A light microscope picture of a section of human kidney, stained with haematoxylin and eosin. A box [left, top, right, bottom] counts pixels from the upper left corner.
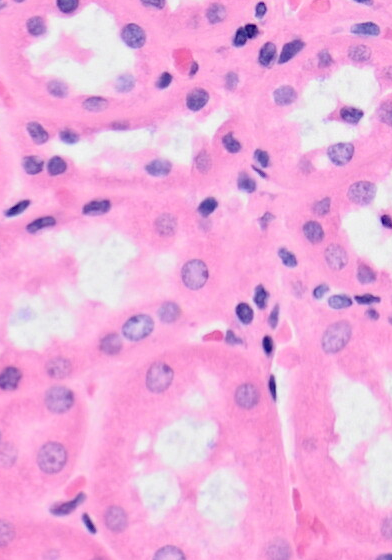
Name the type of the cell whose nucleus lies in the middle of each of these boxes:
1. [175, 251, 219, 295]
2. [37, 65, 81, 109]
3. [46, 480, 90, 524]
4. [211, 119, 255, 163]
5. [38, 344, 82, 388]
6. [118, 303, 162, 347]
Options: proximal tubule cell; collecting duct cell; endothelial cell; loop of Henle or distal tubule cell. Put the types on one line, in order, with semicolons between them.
proximal tubule cell; loop of Henle or distal tubule cell; endothelial cell; loop of Henle or distal tubule cell; proximal tubule cell; proximal tubule cell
